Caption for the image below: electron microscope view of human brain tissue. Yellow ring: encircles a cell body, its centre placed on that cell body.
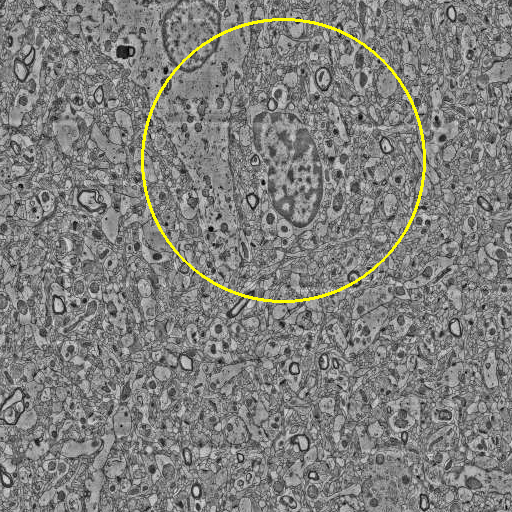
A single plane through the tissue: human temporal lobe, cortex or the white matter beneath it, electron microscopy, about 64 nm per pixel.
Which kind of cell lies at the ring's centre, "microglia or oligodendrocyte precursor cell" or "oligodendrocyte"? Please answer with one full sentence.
The picture shows a microglial cell or oligodendrocyte precursor cell at the centre of the yellow ring.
